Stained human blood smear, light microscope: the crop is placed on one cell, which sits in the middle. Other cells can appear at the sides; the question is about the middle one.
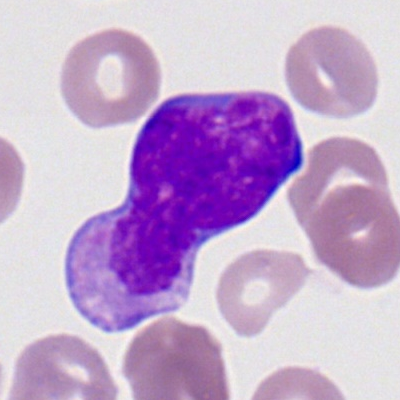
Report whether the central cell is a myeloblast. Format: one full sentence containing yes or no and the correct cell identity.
Yes, within this crop, the central cell is a myeloblast.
